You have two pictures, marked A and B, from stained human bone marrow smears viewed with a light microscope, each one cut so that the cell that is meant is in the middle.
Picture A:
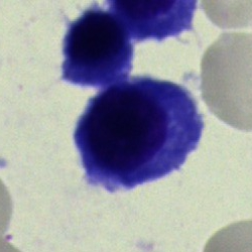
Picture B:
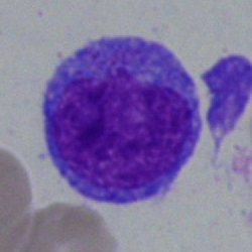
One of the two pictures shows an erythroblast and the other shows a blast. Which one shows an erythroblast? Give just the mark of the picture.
A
